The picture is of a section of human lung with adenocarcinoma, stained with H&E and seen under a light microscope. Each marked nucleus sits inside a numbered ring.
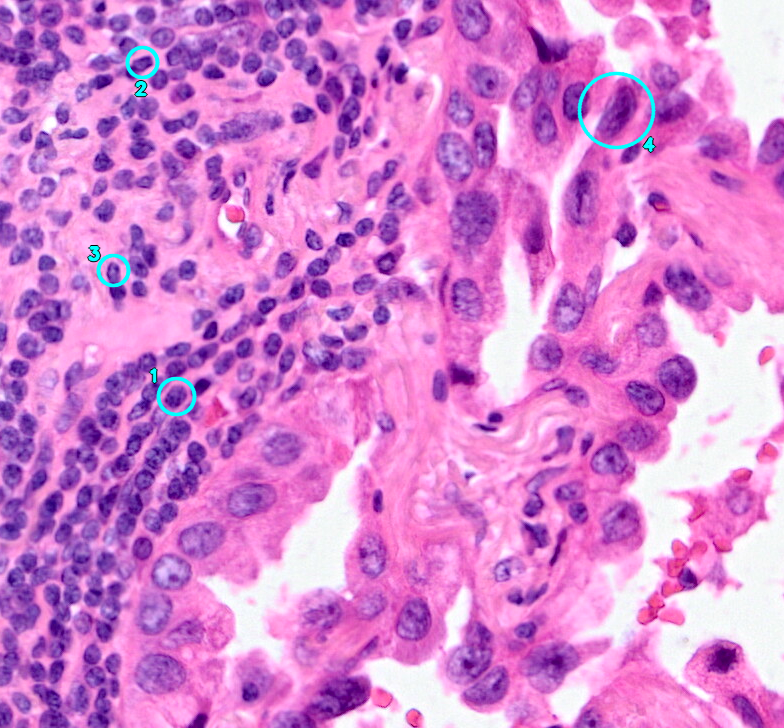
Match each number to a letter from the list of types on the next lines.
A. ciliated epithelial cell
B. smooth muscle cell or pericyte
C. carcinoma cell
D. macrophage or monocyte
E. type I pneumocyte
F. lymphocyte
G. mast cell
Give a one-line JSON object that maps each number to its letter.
{"1": "F", "2": "F", "3": "F", "4": "C"}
